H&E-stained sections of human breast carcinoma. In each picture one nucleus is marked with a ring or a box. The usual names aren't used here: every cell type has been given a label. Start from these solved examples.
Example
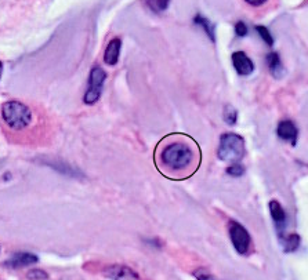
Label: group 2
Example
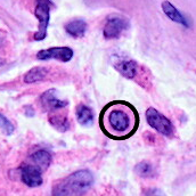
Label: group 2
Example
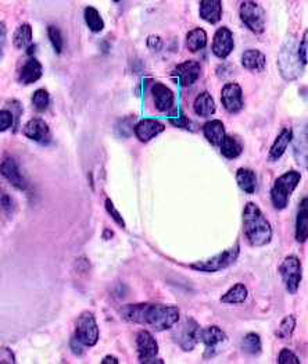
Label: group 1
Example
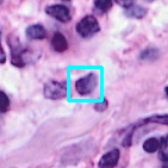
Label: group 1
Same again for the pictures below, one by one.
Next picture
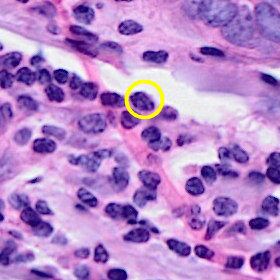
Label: group 1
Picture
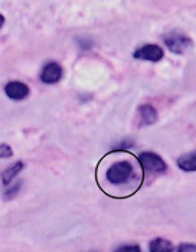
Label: group 1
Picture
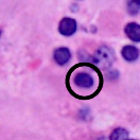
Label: group 1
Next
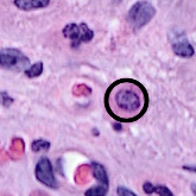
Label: group 2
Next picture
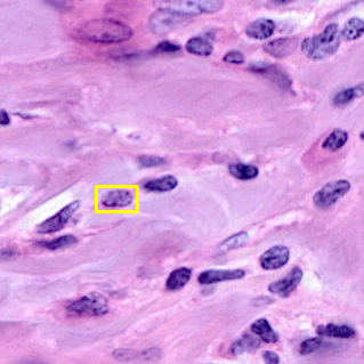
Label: group 2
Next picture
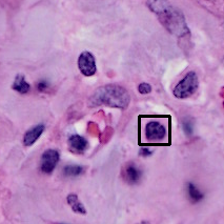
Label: group 2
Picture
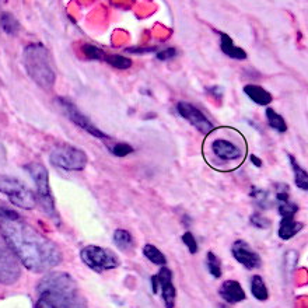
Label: group 2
